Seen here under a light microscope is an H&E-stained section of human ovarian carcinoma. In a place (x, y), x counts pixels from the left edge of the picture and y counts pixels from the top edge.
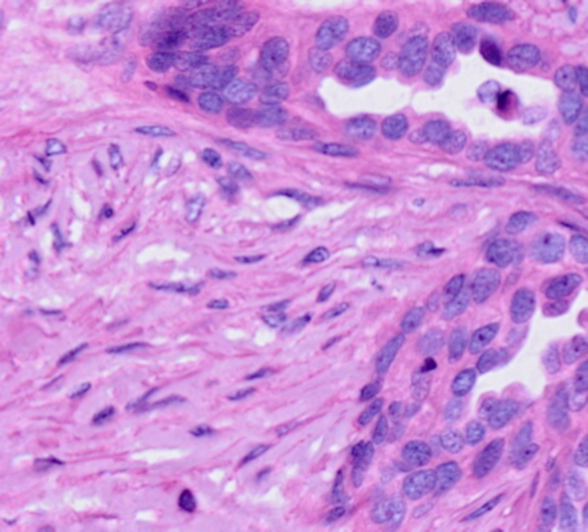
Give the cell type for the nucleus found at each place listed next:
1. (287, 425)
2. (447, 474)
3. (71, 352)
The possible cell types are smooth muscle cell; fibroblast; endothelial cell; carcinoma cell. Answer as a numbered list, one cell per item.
1. fibroblast
2. carcinoma cell
3. fibroblast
